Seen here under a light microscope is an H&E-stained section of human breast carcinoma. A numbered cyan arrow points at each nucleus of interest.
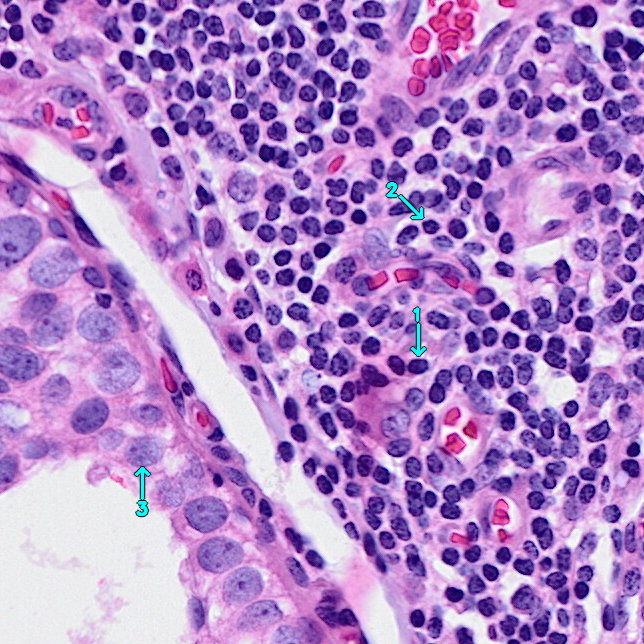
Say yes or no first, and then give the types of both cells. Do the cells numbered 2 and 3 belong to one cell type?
No, cell 2 is a lymphocyte and cell 3 is a carcinoma cell.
